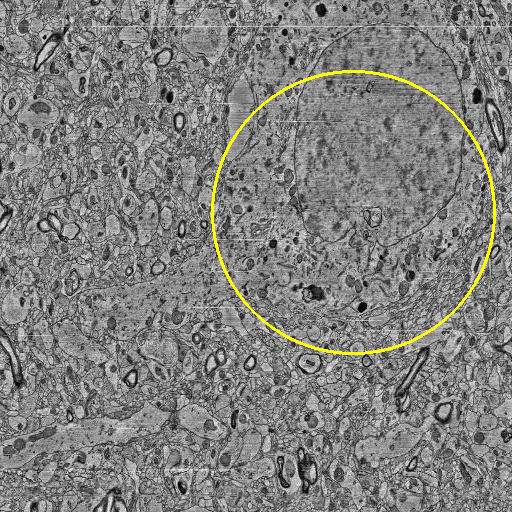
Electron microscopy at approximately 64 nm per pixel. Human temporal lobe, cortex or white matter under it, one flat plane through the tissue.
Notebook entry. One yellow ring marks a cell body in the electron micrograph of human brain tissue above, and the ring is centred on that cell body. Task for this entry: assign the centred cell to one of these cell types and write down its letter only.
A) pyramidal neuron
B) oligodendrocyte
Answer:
A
